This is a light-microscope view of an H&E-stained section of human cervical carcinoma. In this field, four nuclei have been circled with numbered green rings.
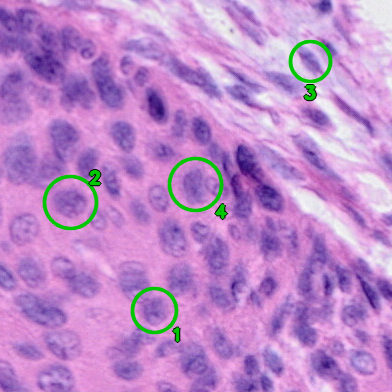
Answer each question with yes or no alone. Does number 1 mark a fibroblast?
no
